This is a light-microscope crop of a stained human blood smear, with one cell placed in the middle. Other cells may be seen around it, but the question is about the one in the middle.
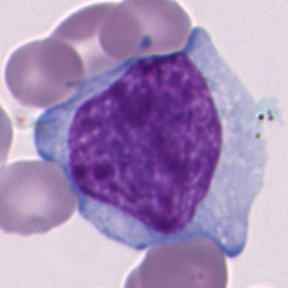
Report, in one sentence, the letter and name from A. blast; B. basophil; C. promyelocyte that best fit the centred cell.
The correct choice is option A, which identifies the middle cell as a blast.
